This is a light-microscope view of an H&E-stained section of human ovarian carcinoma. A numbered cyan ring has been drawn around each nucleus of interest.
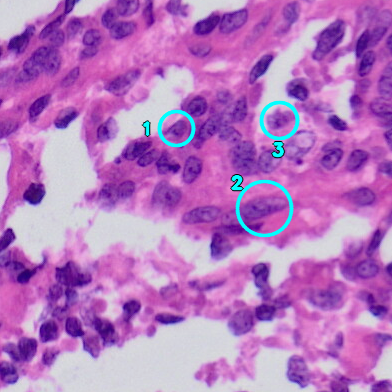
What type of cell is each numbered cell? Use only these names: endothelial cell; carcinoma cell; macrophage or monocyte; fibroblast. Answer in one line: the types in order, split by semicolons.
carcinoma cell; endothelial cell; macrophage or monocyte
